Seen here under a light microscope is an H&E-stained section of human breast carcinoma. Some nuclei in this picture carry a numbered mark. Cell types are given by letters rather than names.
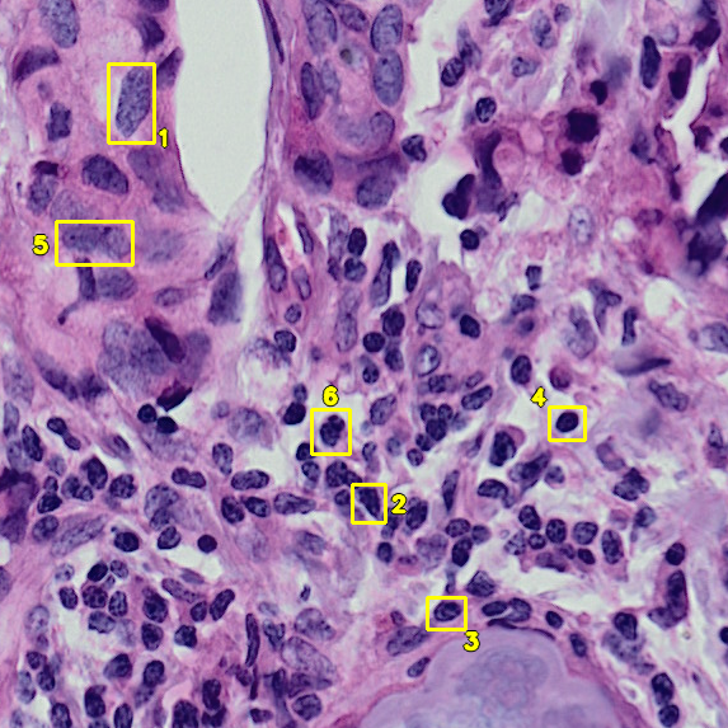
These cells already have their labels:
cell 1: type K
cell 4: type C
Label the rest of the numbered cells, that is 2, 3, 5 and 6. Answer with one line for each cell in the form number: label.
2: type C
3: type C
5: type K
6: type C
